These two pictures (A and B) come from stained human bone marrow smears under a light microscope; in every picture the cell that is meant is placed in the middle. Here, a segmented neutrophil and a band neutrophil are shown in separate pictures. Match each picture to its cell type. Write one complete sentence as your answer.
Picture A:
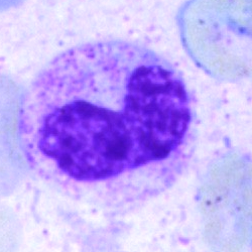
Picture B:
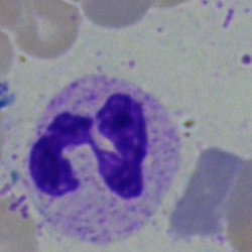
Picture B shows a segmented neutrophil, while picture A shows a band neutrophil.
